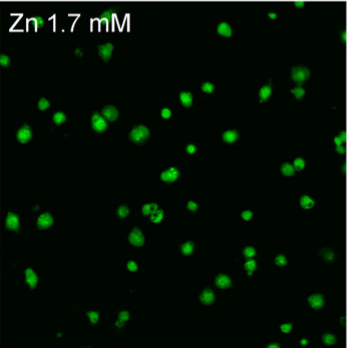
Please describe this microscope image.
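The cells are small and mostly round to slightly oval, of fairly similar size. Each fills with moderately bright green fluorescence throughout the cell body; in several cells the green is uneven, with brighter dots and granules giving a speckled or mottled look. A few cells appear slightly irregular in outline. Cells lie at somewhat different focal depths, so some are sharp and others blurred.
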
